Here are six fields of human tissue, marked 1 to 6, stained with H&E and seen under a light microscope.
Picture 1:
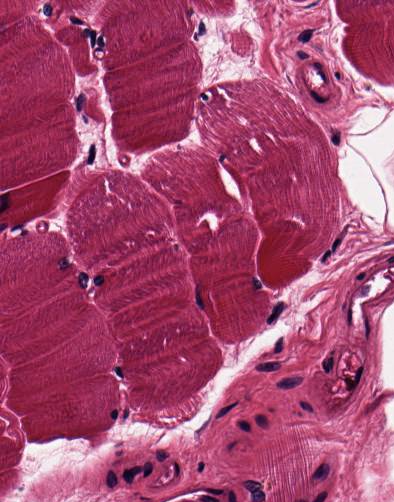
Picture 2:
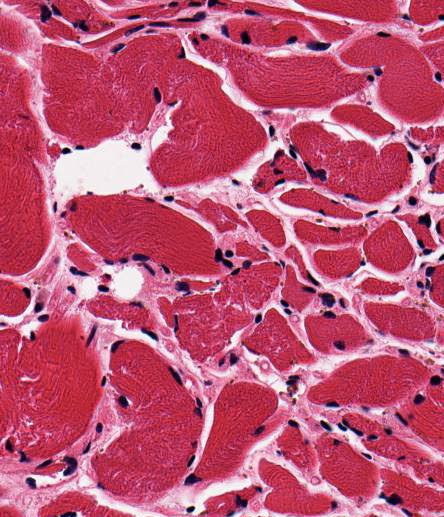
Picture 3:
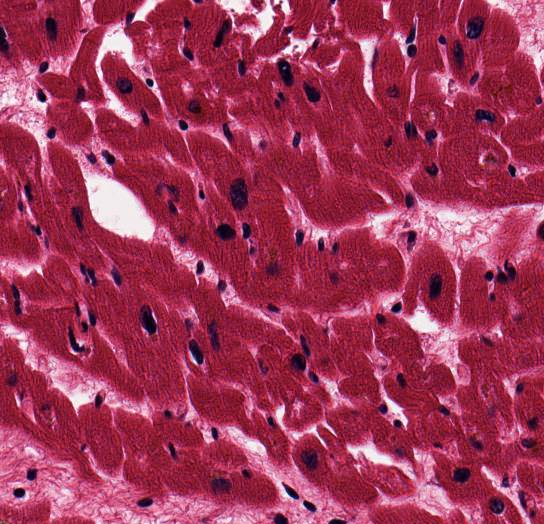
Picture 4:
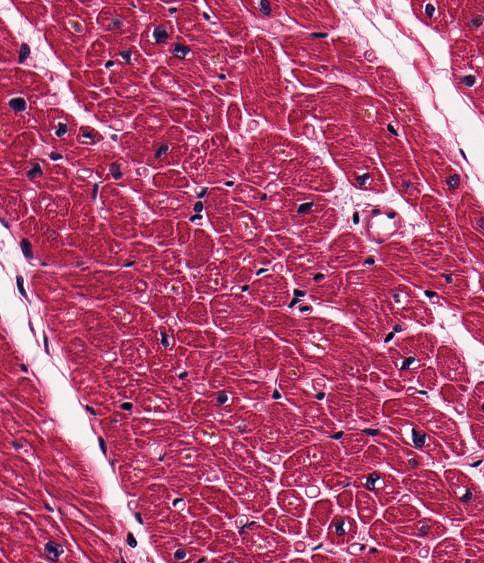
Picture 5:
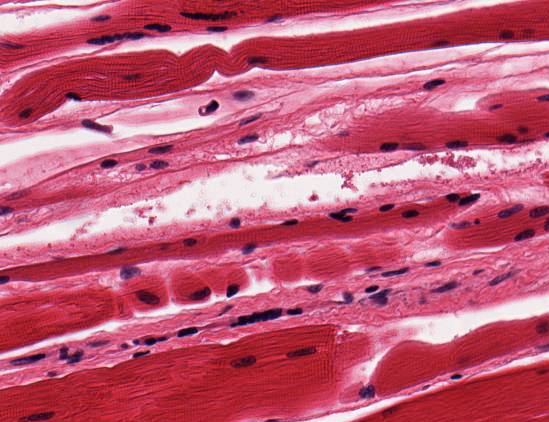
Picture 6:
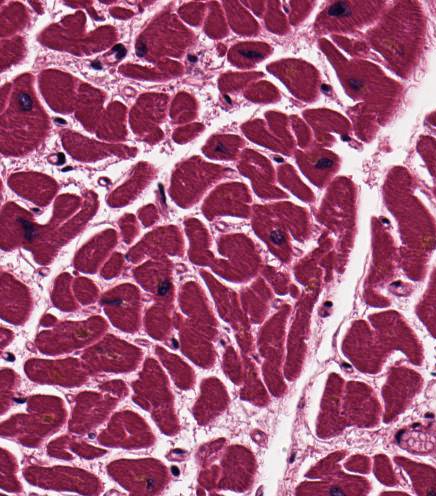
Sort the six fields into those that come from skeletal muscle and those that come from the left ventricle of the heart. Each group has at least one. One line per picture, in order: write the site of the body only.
skeletal muscle
skeletal muscle
left ventricle of the heart
left ventricle of the heart
skeletal muscle
left ventricle of the heart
